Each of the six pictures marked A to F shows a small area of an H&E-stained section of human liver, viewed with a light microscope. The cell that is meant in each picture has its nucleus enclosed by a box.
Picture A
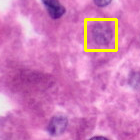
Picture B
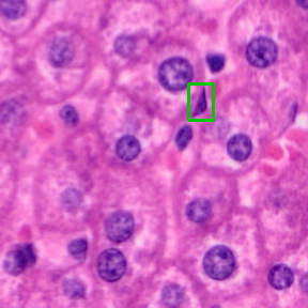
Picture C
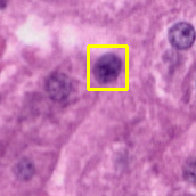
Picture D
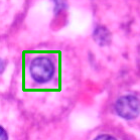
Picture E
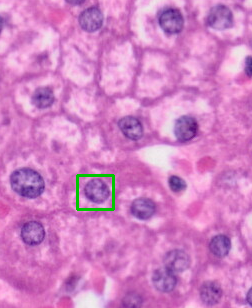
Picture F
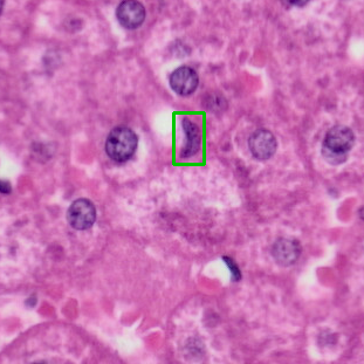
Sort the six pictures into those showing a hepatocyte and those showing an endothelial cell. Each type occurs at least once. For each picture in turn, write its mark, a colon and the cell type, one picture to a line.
A: hepatocyte
B: endothelial cell
C: endothelial cell
D: hepatocyte
E: hepatocyte
F: endothelial cell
